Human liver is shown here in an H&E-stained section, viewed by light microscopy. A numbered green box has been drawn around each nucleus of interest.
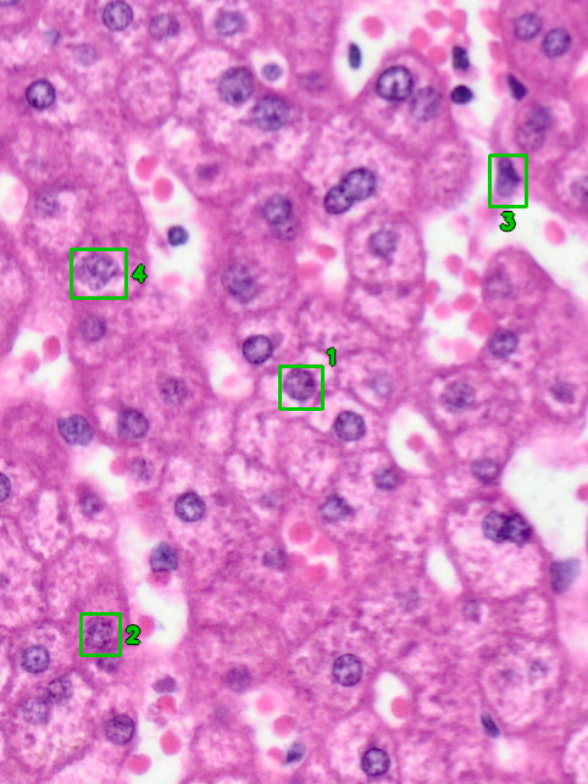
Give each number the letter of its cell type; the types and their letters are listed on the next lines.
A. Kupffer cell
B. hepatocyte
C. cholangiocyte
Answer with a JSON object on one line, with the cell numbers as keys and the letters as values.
{"1": "B", "2": "B", "3": "A", "4": "B"}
